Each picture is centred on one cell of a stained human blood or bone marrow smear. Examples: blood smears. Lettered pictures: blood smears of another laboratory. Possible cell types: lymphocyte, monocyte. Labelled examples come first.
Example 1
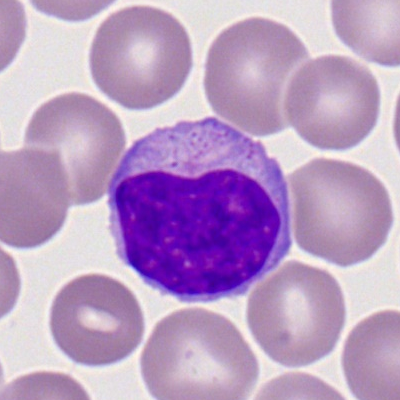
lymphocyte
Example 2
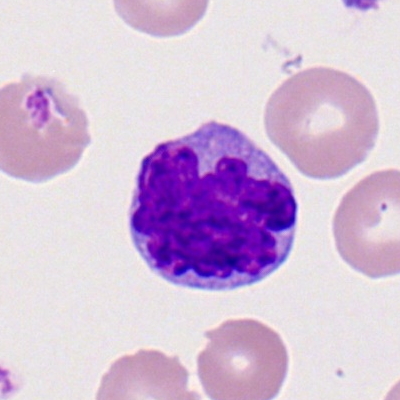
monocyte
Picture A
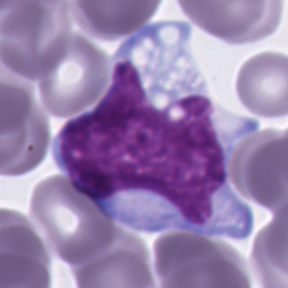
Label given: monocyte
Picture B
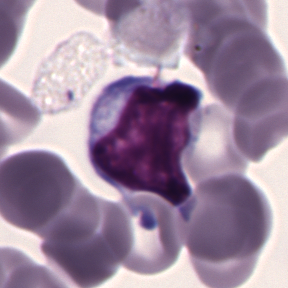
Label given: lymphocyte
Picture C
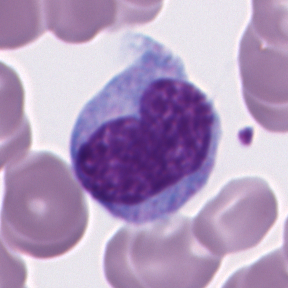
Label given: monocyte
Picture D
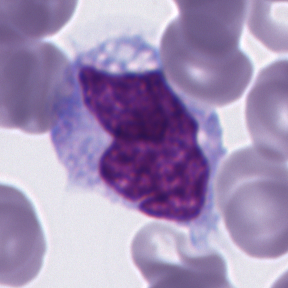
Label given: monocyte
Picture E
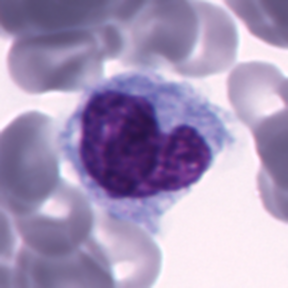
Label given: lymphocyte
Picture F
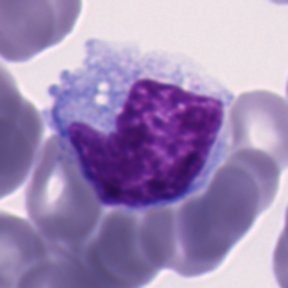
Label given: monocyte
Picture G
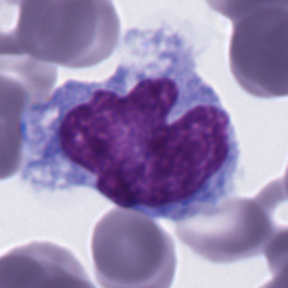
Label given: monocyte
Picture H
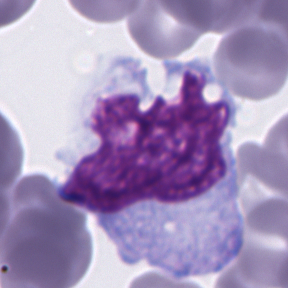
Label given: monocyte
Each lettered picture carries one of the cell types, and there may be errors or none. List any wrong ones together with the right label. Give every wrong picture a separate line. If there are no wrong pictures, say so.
Wrong: E (lymphocyte); correct: monocyte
